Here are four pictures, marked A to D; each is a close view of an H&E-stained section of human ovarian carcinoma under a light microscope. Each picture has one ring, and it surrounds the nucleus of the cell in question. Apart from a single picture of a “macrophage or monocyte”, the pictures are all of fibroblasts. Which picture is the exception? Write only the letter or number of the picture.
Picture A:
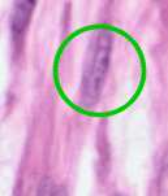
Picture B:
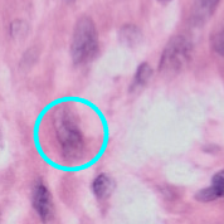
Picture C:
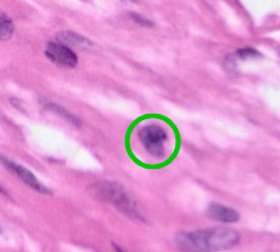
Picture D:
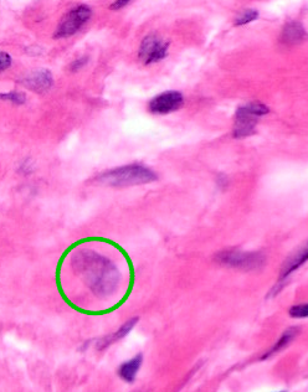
C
